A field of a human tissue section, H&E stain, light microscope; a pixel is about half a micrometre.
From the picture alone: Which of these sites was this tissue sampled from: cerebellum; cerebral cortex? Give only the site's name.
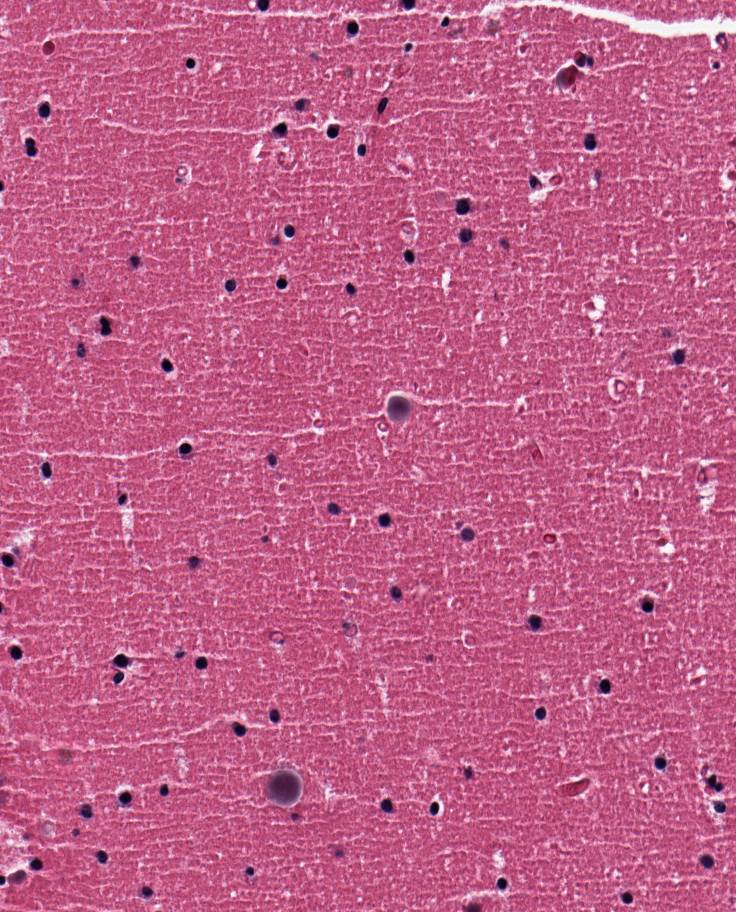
cerebellum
